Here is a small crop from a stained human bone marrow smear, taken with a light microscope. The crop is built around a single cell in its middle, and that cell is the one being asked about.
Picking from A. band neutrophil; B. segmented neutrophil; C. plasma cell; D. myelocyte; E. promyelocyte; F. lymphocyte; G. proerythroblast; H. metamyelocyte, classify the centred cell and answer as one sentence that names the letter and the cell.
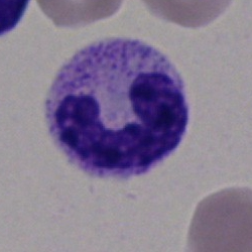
The cell shown centrally is a band neutrophil; option A is the correct option.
